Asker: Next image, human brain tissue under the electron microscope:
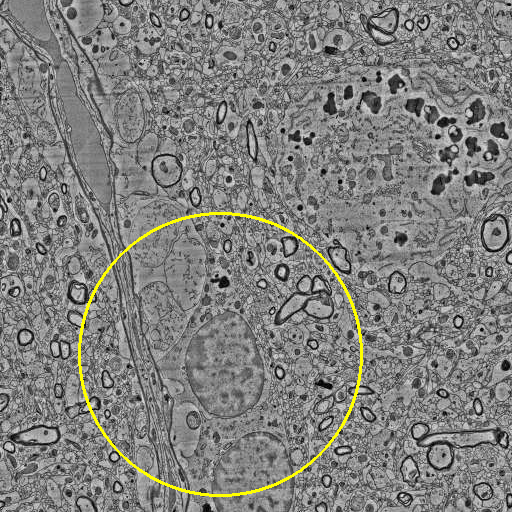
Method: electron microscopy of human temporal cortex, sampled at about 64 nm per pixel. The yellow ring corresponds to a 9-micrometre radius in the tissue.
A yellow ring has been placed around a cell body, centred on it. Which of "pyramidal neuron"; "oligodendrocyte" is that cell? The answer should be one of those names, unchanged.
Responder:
oligodendrocyte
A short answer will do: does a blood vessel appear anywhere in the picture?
Yes.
